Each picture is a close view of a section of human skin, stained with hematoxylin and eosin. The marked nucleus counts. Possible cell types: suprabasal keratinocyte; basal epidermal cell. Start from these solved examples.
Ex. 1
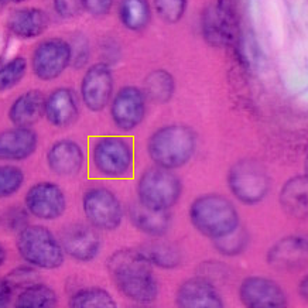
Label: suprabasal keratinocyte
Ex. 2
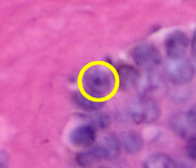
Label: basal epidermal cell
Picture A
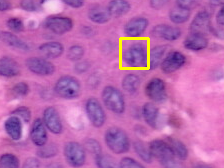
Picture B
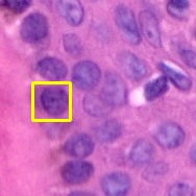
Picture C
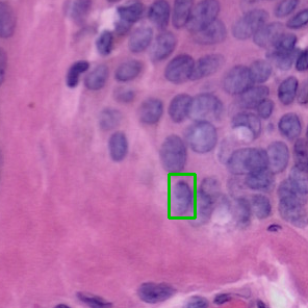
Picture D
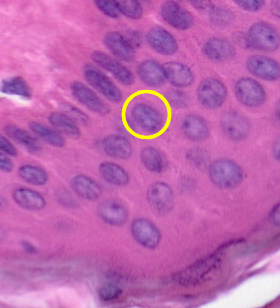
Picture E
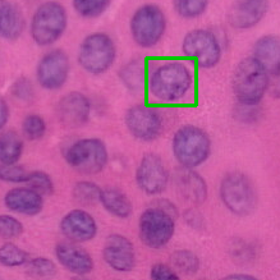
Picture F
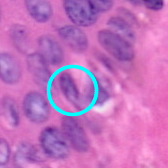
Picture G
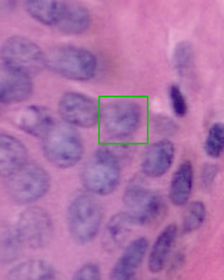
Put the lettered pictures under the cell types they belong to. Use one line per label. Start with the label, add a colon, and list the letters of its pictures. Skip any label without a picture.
suprabasal keratinocyte: D, E
basal epidermal cell: A, B, C, F, G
